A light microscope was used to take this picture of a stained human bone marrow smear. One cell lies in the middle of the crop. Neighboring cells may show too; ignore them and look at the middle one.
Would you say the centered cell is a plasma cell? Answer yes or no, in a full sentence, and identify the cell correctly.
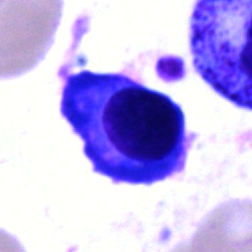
Yes, a plasma cell is what the central cell is.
